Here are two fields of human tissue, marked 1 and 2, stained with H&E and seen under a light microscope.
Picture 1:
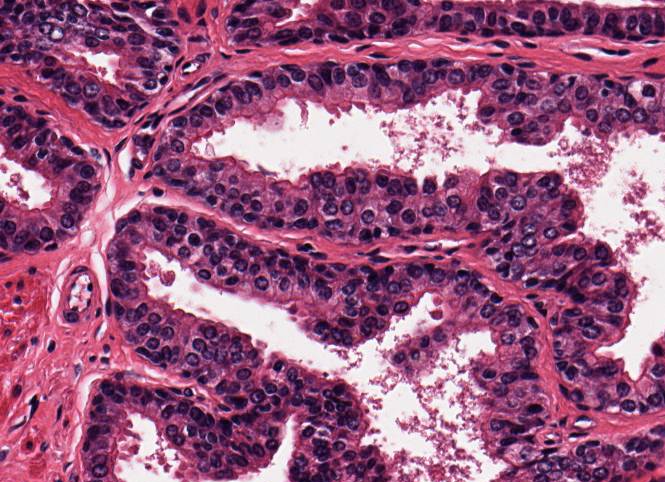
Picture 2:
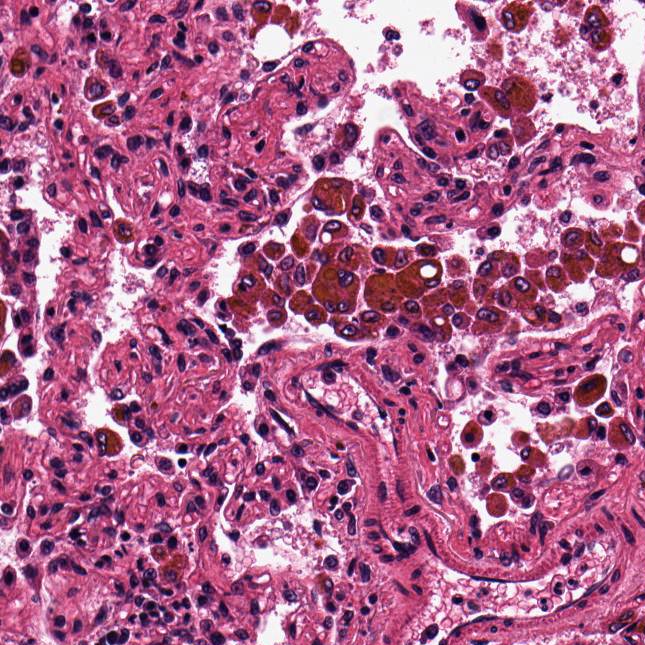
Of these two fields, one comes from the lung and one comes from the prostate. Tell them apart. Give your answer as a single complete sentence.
Picture 1 comes from the prostate and picture 2 comes from the lung.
